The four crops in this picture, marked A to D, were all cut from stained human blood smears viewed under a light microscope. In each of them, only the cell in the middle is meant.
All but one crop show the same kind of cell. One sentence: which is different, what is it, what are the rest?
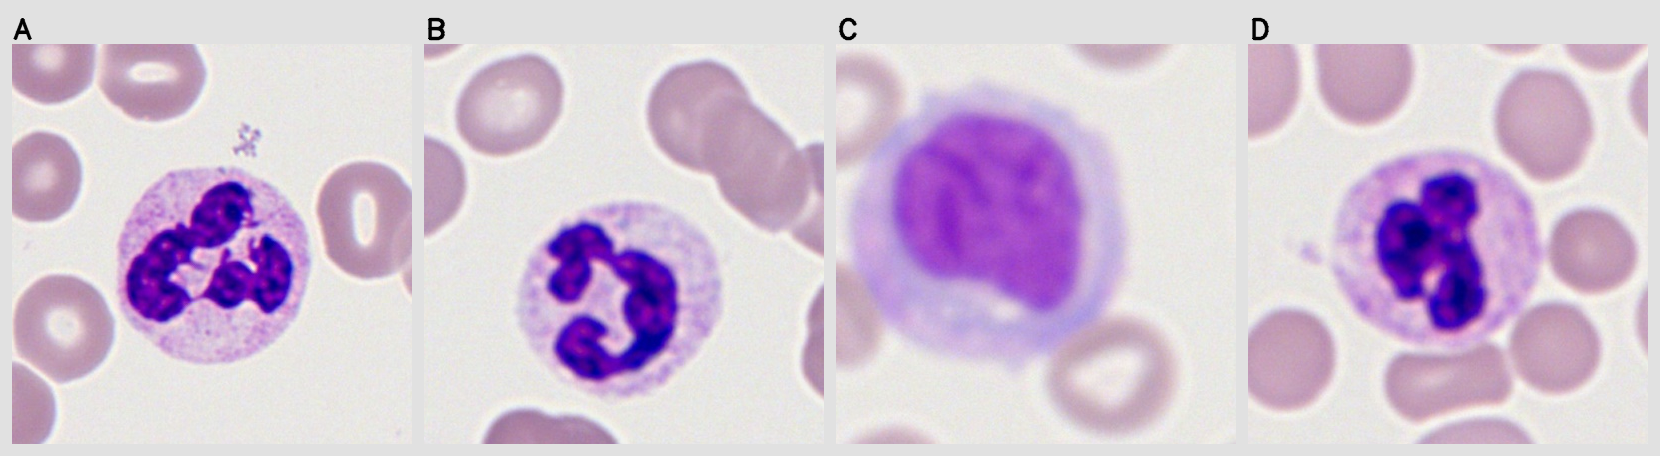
All crops show segmented neutrophils except crop C, which is a monocyte.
